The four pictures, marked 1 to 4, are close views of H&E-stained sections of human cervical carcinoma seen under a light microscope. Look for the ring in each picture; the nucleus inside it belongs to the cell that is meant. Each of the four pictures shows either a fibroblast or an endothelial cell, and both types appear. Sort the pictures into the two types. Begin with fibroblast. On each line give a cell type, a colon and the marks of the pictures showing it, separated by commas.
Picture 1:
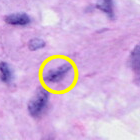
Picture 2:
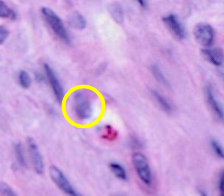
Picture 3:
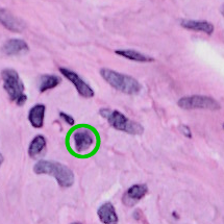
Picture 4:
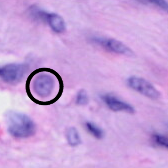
fibroblast: 1, 3
endothelial cell: 2, 4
